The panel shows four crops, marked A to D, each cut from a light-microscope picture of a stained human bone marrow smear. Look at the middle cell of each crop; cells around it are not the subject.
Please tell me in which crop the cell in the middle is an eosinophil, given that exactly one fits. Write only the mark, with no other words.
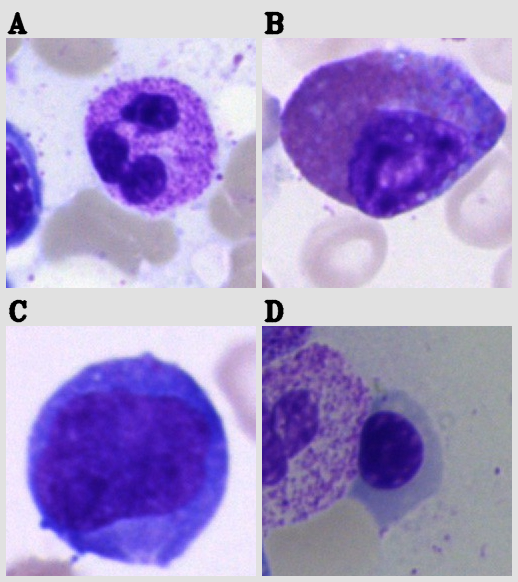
B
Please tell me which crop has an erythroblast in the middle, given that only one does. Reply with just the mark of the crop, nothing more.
D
